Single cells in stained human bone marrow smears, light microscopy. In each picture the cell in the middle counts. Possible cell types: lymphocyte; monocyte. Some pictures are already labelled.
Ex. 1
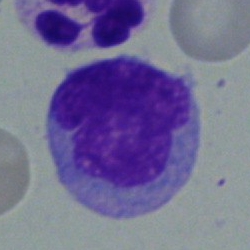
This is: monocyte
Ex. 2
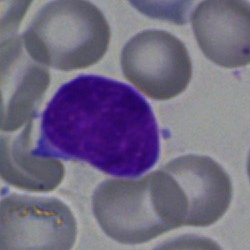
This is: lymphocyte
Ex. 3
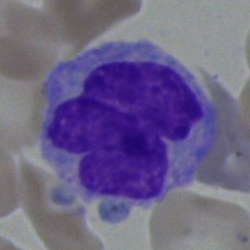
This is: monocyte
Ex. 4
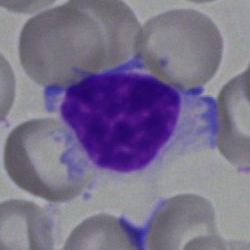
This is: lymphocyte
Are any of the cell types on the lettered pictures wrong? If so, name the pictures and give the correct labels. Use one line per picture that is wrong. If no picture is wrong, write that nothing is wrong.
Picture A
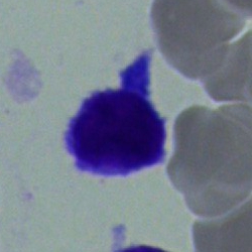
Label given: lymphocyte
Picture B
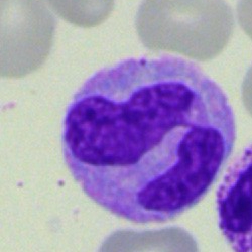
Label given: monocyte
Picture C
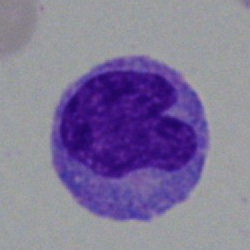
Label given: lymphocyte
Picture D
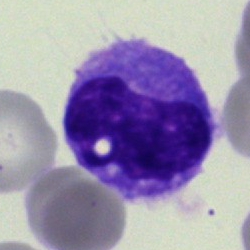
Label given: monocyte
C should be monocyte, not lymphocyte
